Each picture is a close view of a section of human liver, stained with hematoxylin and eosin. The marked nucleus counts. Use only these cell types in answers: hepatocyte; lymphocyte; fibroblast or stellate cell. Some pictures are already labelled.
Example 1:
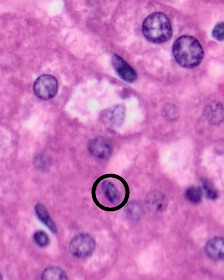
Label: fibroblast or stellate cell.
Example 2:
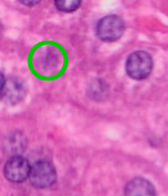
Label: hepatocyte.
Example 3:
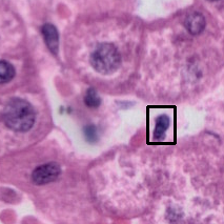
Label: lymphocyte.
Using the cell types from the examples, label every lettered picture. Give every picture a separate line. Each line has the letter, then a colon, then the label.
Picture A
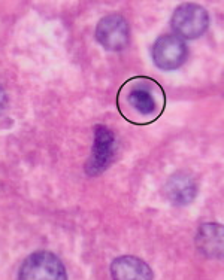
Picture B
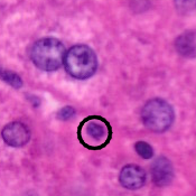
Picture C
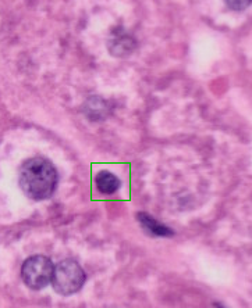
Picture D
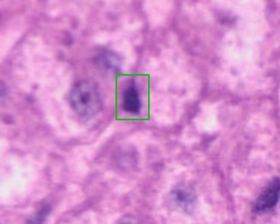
A: lymphocyte.
B: lymphocyte.
C: lymphocyte.
D: fibroblast or stellate cell.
